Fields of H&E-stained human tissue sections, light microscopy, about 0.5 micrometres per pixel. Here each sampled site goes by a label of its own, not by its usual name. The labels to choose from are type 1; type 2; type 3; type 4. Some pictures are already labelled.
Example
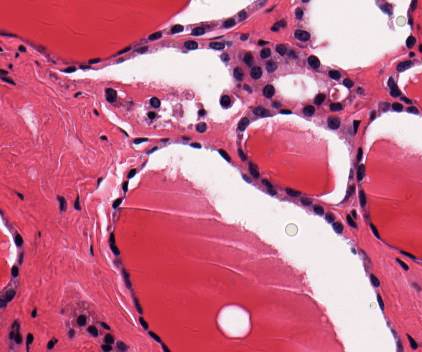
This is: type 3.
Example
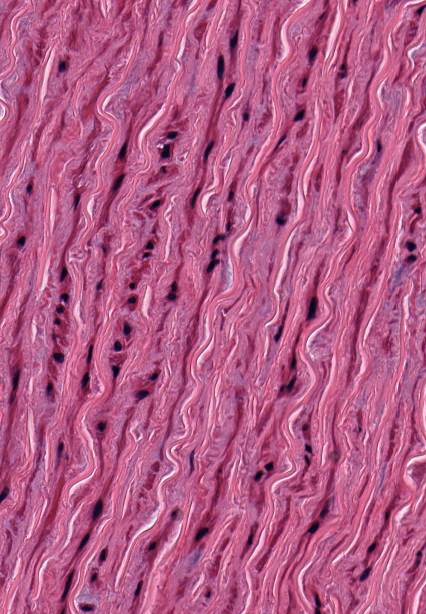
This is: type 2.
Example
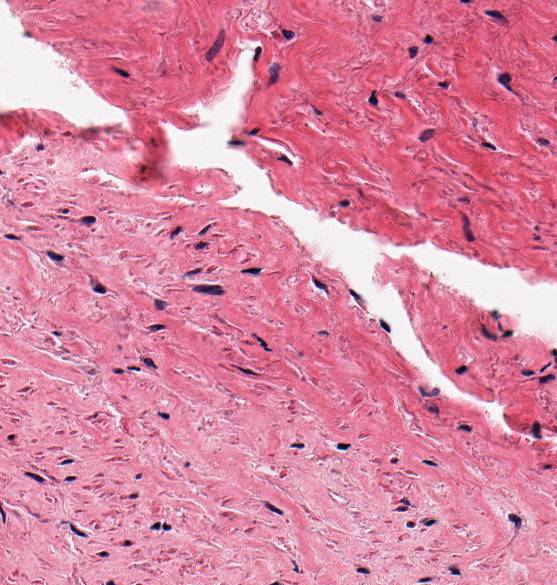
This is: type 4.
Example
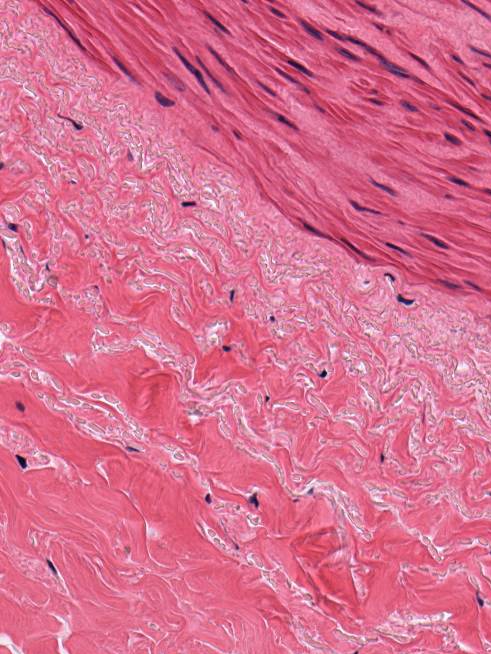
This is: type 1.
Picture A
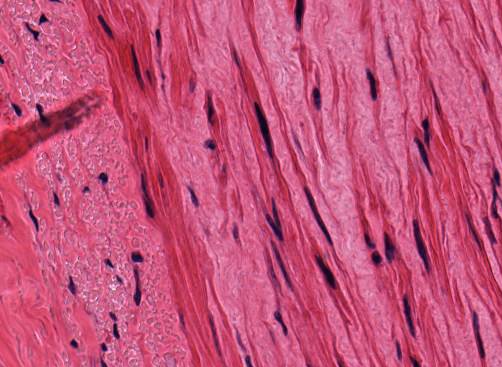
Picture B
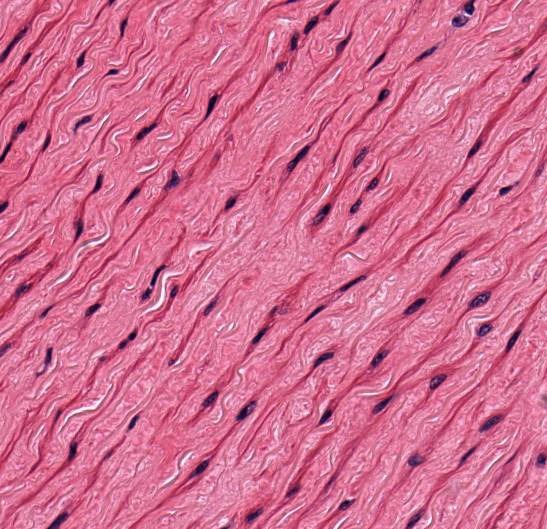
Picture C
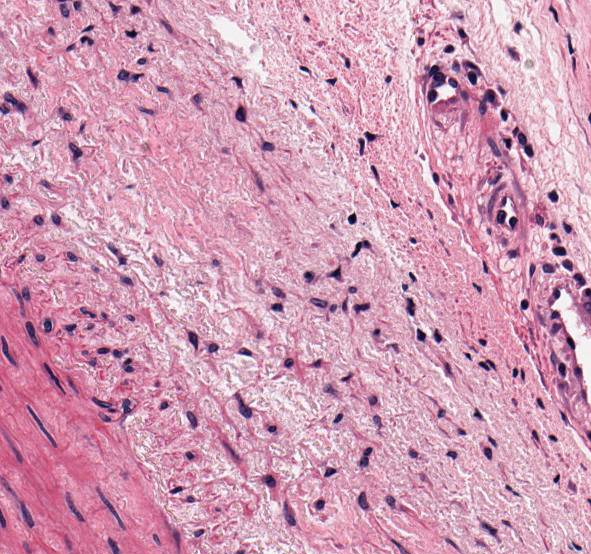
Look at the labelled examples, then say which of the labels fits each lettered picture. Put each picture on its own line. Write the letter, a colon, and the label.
A: type 1.
B: type 2.
C: type 4.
